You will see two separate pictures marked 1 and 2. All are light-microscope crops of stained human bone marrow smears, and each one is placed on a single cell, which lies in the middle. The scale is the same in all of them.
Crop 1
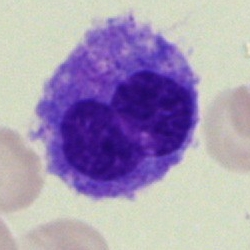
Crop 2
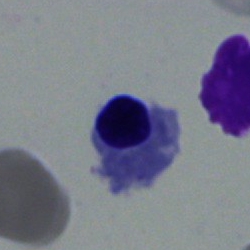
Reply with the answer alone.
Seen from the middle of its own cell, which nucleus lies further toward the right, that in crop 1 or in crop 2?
1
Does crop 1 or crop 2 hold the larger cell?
1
